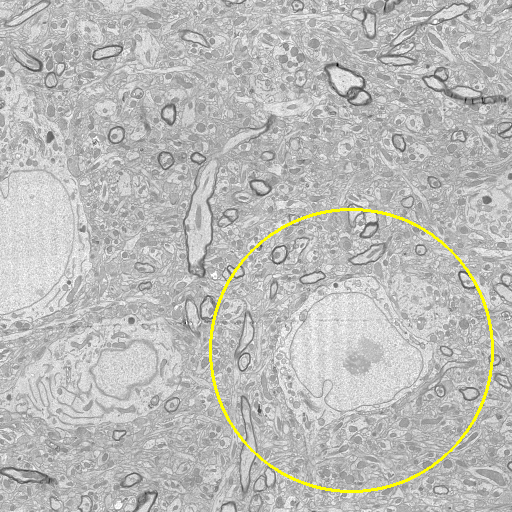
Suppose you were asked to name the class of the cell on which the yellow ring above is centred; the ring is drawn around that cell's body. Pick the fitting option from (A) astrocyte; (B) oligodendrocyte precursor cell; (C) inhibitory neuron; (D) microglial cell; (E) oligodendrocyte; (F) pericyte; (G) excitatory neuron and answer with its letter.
C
